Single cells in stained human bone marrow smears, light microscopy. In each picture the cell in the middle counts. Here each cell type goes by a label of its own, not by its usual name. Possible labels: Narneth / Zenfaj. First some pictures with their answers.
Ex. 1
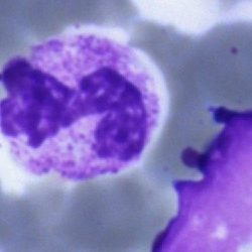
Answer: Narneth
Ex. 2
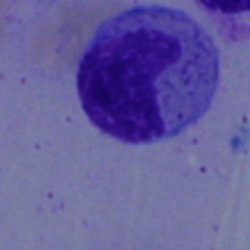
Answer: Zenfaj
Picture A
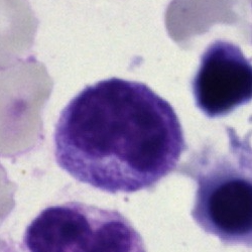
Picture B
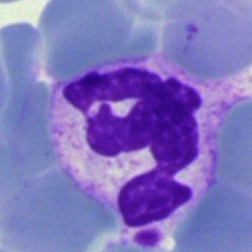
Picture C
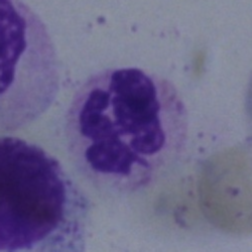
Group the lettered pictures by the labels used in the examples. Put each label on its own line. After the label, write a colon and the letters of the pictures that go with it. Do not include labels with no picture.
Narneth: B, C
Zenfaj: A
